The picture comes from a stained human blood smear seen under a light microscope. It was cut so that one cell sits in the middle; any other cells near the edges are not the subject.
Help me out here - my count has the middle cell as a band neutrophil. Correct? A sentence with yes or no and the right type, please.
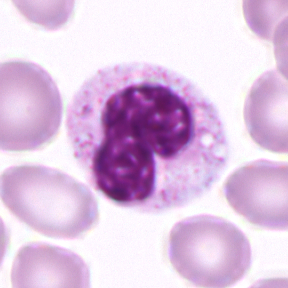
Yes, the cell centred in this crop is a band neutrophil.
